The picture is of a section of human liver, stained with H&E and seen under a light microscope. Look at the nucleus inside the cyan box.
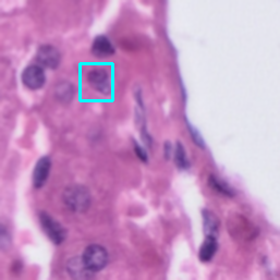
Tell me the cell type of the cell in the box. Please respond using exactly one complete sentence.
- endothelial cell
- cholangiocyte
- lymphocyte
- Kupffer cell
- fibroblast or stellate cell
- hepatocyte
The correct response here is that the cell in the box is a fibroblast or stellate cell.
